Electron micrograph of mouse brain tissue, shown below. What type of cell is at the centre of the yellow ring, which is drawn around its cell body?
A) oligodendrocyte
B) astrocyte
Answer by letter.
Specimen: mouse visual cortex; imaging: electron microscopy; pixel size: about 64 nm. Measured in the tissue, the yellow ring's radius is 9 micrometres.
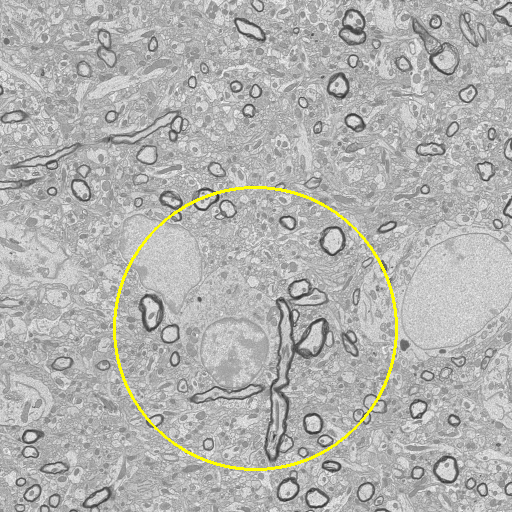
A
